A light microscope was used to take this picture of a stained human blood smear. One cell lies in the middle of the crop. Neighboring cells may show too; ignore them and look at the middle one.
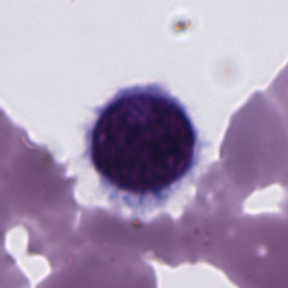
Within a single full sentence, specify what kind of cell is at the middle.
The center cell of this crop is a hairy cell.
